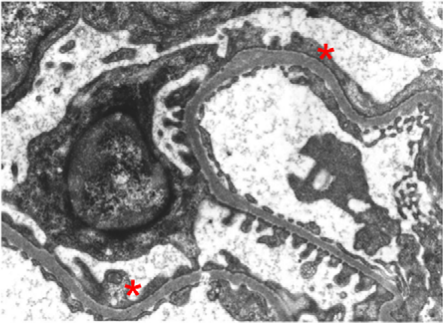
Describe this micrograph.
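This electron micrograph shows glomerular capillary loops bounded by a grey basement membrane, with a cell and its nucleus lying between the loops. Along long stretches of the membrane, marked by asterisks, the covering epithelial layer forms a continuous, flattened band instead of separate projections. Only in a few places do short, separate foot processes remain. The capillary lumina are wide and pale.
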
